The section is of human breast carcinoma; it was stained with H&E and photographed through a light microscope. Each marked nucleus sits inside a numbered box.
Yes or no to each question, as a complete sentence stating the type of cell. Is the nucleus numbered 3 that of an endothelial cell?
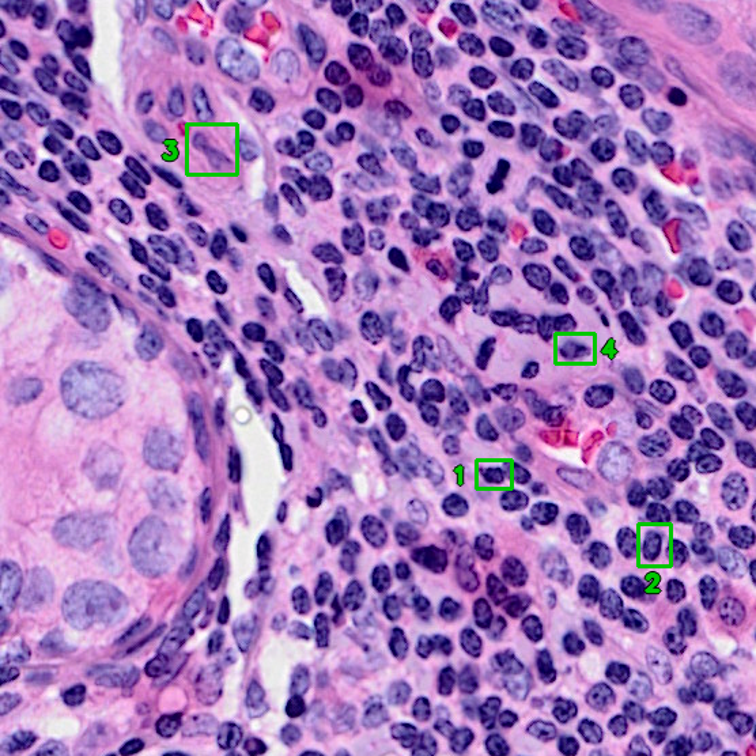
Yes, the cell given number 3 is an endothelial cell.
